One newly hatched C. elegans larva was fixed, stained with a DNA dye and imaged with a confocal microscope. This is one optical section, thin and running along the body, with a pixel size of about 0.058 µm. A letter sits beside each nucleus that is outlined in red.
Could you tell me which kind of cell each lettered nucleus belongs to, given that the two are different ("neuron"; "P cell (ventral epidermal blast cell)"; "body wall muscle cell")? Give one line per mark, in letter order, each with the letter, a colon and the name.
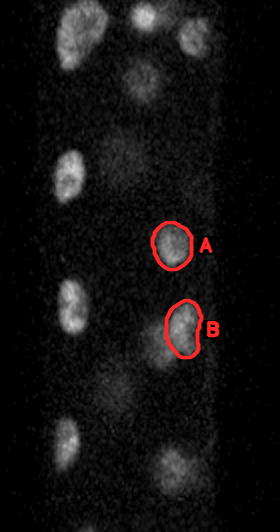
A: P cell (ventral epidermal blast cell)
B: body wall muscle cell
